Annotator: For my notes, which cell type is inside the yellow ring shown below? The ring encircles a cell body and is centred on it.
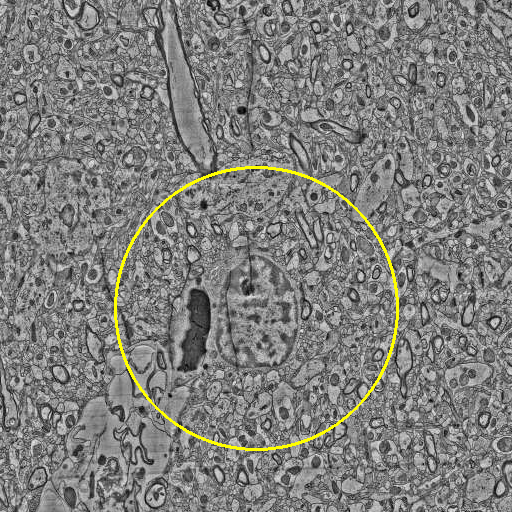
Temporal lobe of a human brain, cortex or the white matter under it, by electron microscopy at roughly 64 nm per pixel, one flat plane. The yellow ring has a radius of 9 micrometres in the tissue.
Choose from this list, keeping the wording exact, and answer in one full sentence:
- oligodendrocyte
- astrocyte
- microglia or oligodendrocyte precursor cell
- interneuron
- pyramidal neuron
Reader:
At the centre of the yellow ring there is an oligodendrocyte, as shown in the picture.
